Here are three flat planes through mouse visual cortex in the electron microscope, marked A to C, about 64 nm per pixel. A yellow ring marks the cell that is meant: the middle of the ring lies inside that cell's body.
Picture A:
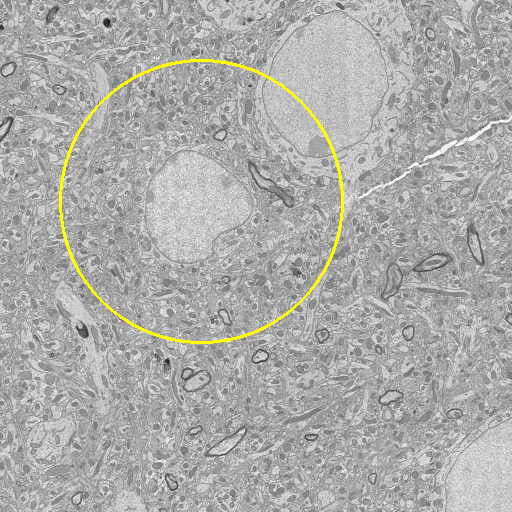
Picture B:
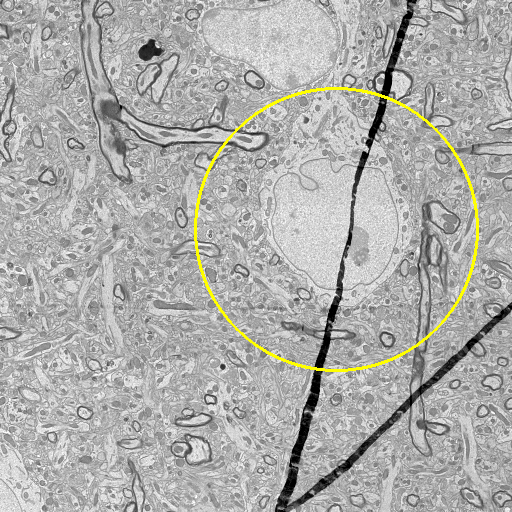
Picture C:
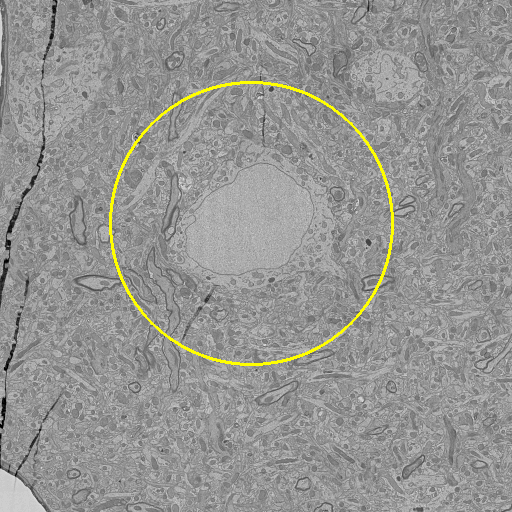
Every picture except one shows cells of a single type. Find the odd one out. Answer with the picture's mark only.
A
